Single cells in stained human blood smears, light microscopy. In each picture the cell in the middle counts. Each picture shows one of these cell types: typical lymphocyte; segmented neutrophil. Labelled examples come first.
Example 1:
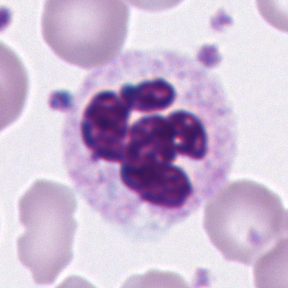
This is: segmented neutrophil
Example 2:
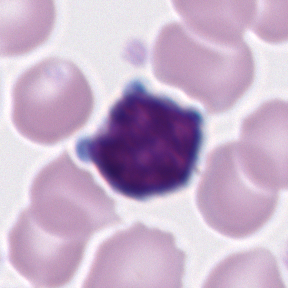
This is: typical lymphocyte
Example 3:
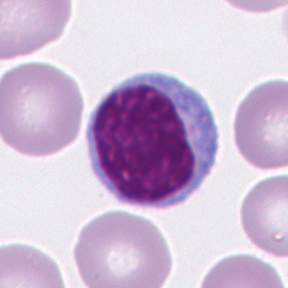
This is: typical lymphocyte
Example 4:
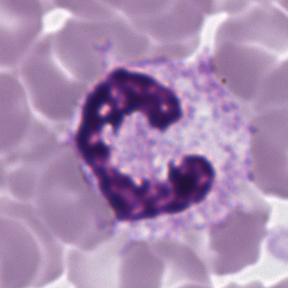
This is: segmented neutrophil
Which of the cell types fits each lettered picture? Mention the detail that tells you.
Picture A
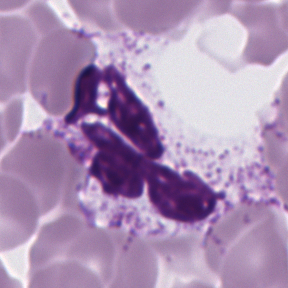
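segmented neutrophil. The cytoplasm is pale and nearly colourless.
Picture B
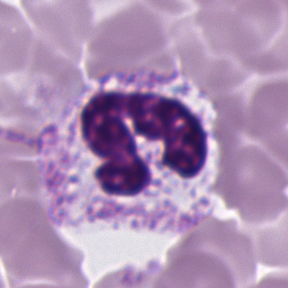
segmented neutrophil. The nucleus is bent into a horseshoe shape that opens toward the bottom of the picture.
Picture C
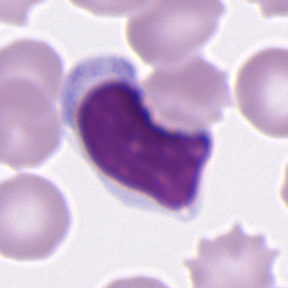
typical lymphocyte. The nucleus fills most of the cell.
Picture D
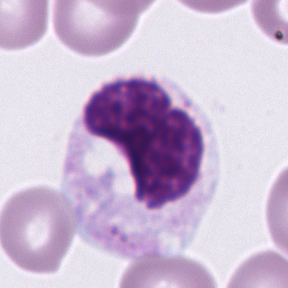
segmented neutrophil. The cytoplasm is abundant and pale greyish-blue.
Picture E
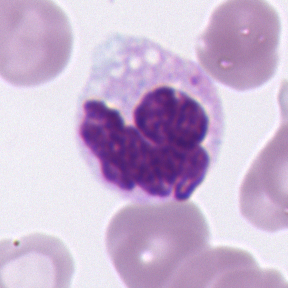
segmented neutrophil. The cytoplasm is abundant and pale greyish-blue.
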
